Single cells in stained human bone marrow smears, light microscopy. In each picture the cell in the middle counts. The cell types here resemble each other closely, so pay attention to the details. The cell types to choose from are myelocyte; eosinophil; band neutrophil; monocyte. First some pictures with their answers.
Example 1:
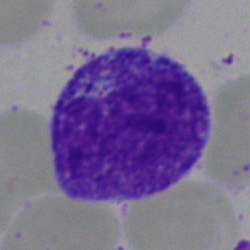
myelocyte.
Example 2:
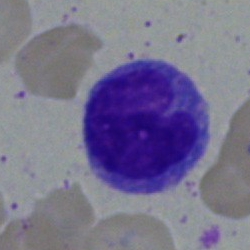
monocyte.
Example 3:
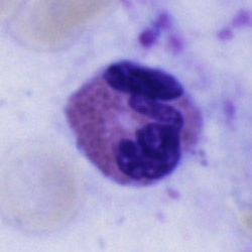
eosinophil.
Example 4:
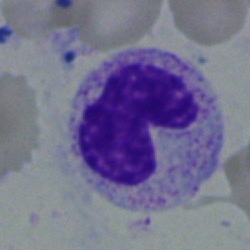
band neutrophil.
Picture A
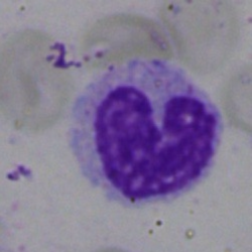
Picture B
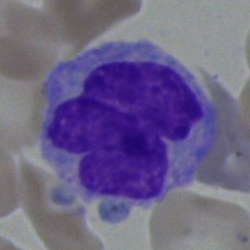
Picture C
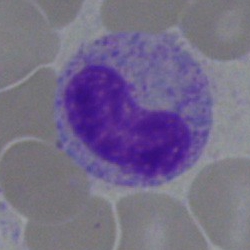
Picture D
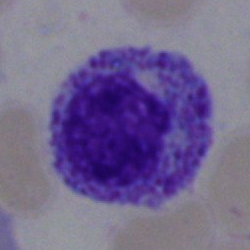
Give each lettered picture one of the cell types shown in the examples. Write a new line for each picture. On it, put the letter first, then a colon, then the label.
A: band neutrophil.
B: monocyte.
C: band neutrophil.
D: myelocyte.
